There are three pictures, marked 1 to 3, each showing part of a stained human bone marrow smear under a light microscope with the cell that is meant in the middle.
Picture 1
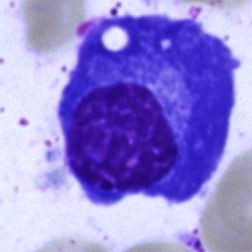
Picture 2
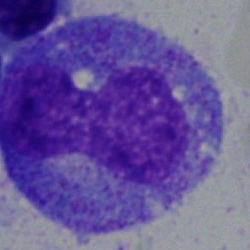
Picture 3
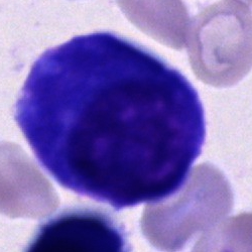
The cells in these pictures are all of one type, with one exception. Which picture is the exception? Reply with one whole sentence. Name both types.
The others show plasma cells, but picture 2 shows a promyelocyte.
